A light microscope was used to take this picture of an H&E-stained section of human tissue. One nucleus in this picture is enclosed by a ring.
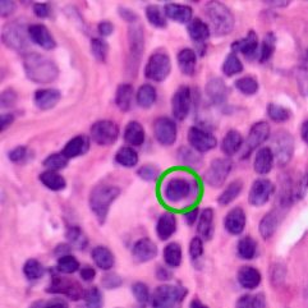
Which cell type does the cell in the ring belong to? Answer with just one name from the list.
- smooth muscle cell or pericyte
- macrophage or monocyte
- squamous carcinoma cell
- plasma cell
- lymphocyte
lymphocyte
